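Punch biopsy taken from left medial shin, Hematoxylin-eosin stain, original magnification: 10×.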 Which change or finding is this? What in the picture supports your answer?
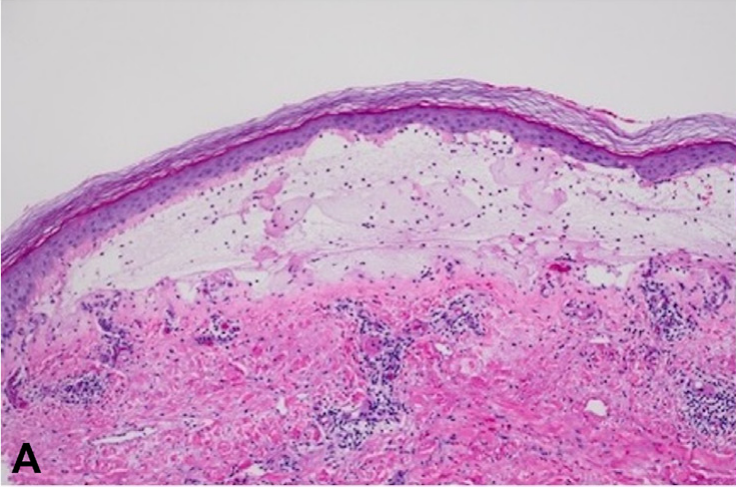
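The whole epidermis is lifted off the dermis as an intact roof. A wide pale cavity lies between the epidermis and the pink dermis. The cavity holds pale fibrinous material and scattered small dark nuclei.
Conclusion: subepidermal blister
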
